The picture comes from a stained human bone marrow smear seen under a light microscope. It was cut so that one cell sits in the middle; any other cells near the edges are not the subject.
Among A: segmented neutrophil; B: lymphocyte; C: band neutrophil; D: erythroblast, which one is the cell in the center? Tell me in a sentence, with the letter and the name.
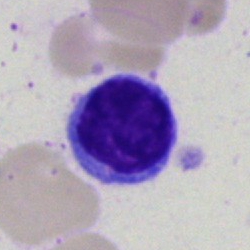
The correct option here is B; the middle cell is a lymphocyte.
